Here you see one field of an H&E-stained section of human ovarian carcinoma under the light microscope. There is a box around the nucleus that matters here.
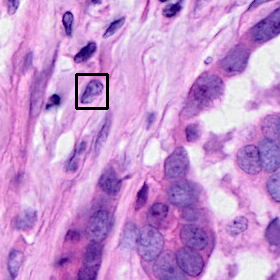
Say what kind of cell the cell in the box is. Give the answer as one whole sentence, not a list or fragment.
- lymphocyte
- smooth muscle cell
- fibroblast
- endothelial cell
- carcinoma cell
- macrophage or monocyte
It is as a lymphocyte that the cell in the box is classified.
